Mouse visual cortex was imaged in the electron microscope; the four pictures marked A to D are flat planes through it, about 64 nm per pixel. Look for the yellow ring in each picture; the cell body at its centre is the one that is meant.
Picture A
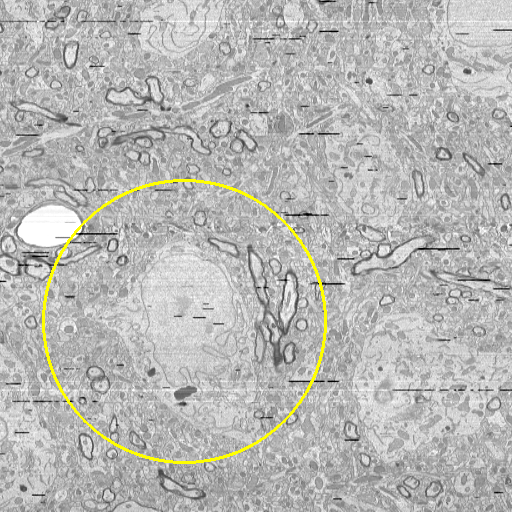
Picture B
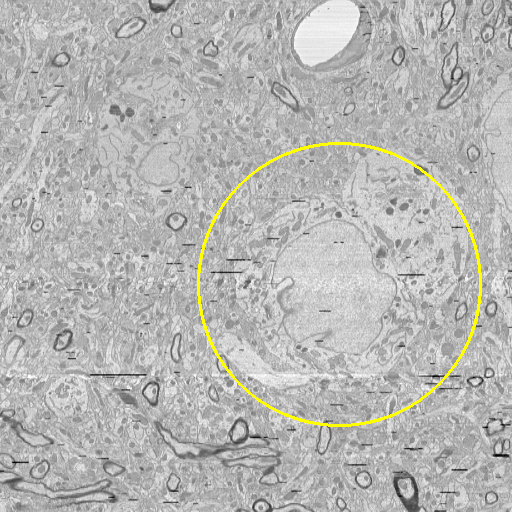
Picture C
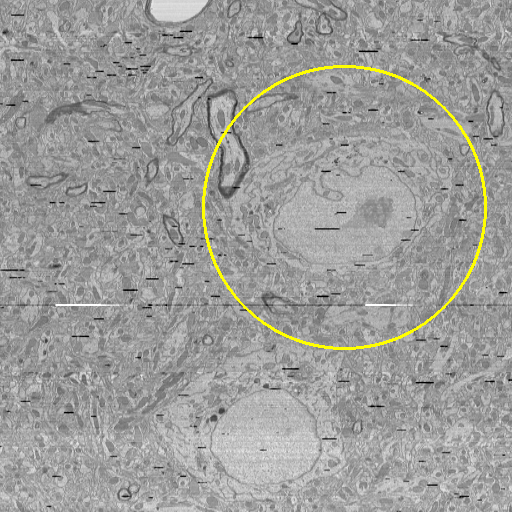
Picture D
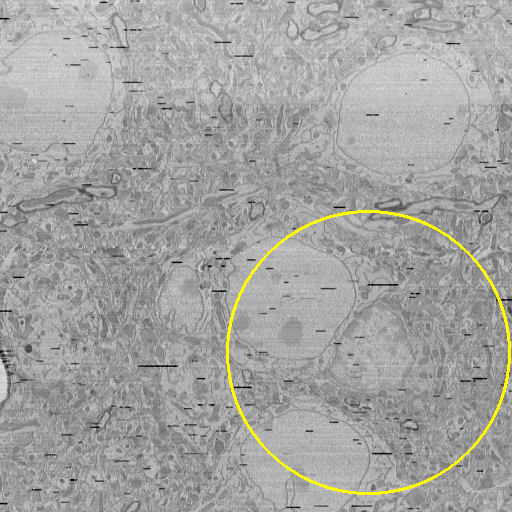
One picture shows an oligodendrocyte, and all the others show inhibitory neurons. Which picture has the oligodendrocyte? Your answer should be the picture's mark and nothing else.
D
